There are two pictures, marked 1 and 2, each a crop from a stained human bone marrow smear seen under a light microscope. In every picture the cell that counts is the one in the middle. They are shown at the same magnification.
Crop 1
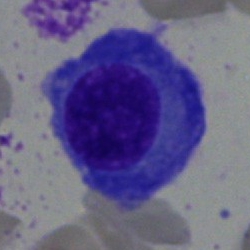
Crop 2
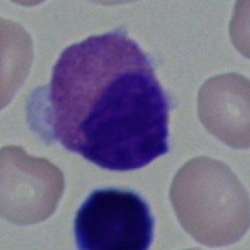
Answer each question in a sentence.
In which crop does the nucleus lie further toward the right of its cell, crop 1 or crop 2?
It is the nucleus in crop 2 that lies further toward the right of its cell.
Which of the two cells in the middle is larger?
It is the cell in crop 1, about 1.5 times as large in area as the cell in crop 2.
